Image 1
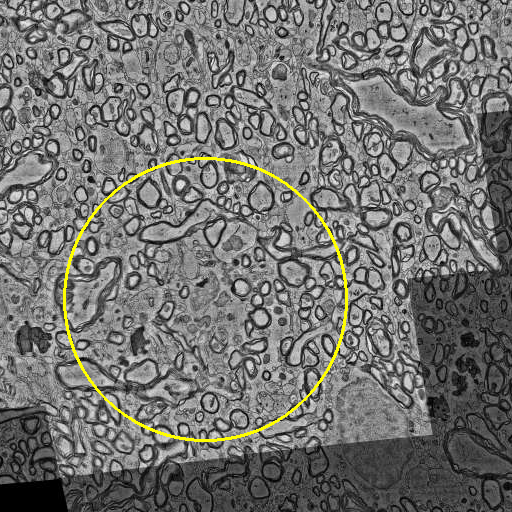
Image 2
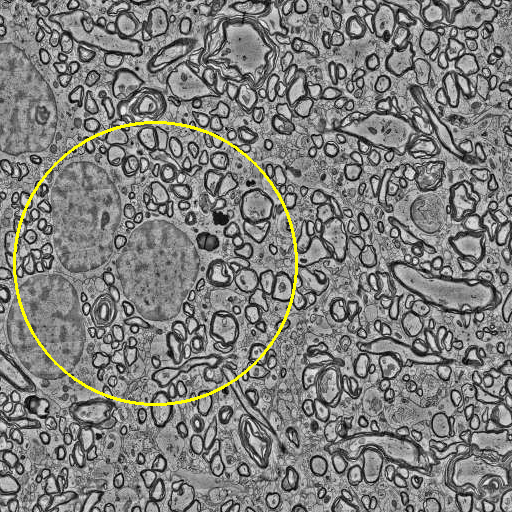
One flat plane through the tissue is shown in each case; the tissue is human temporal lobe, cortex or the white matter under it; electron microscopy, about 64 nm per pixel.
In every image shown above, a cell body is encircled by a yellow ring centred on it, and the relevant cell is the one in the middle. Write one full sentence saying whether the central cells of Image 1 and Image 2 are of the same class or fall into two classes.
The cell at the ring's centre in Image 1 and its counterpart in Image 2 are of the same class.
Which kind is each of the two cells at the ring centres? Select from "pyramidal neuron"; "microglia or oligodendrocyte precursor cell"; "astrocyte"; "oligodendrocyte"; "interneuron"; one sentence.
The first and the second cell are each an oligodendrocyte.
